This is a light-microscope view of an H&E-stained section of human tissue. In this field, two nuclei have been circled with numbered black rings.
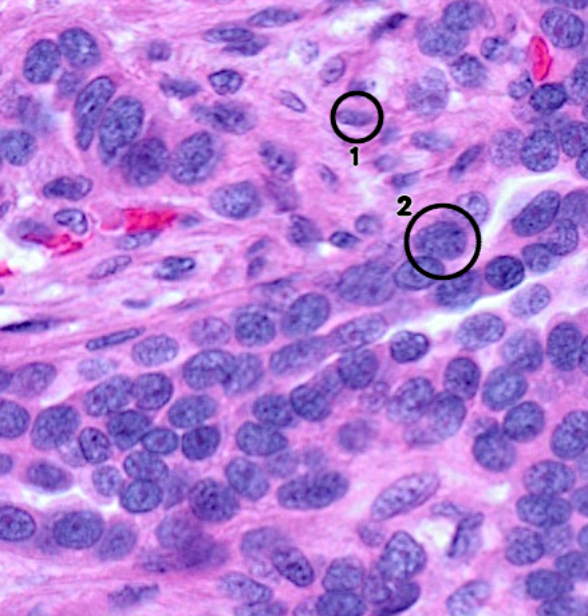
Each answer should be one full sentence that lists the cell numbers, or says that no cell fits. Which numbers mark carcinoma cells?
The cell labelled 2 is a carcinoma cell, while the remaining numbered cells are not.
